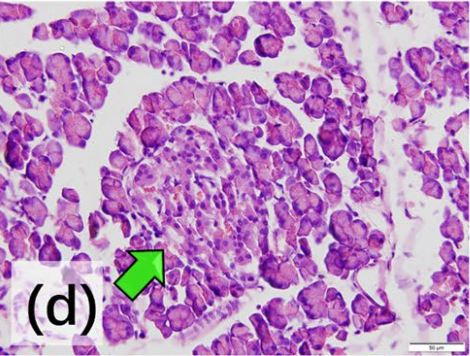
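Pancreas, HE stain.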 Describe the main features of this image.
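The acinar cells are arranged in clustered, rounded groups with deeply purple-stained cytoplasm. In the centre lies a large, roughly round islet made of smaller, paler pink cells with small round nuclei. The islet cells are packed in irregular cords with fine spaces between them and are clearly set apart from the darker acini around them. Thin pale connective tissue clefts separate groups of acini.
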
